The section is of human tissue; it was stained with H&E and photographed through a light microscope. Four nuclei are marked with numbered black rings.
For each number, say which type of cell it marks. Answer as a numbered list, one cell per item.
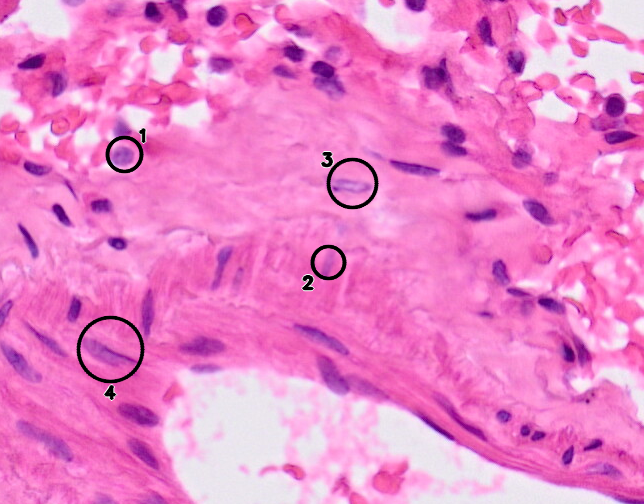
1. type I pneumocyte
2. smooth muscle cell or pericyte
3. fibroblast
4. smooth muscle cell or pericyte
